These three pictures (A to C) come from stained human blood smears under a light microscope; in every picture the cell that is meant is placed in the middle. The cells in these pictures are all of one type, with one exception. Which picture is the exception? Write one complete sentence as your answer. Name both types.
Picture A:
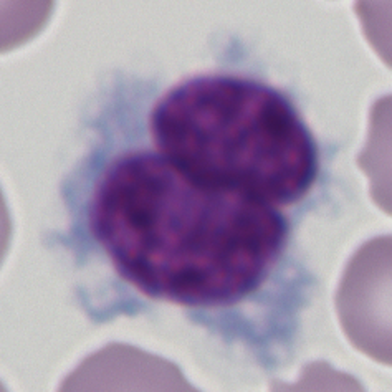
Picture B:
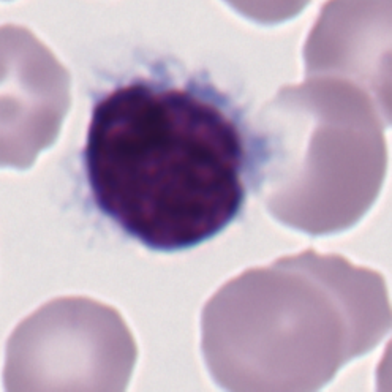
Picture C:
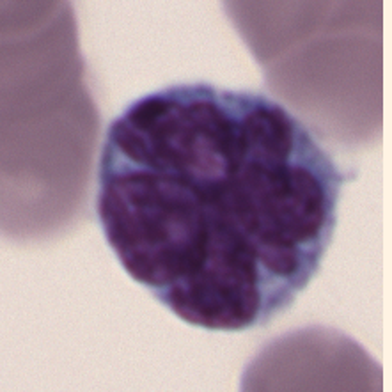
Picture C is the odd one out: it shows a monocyte, while the others show hairy cells.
